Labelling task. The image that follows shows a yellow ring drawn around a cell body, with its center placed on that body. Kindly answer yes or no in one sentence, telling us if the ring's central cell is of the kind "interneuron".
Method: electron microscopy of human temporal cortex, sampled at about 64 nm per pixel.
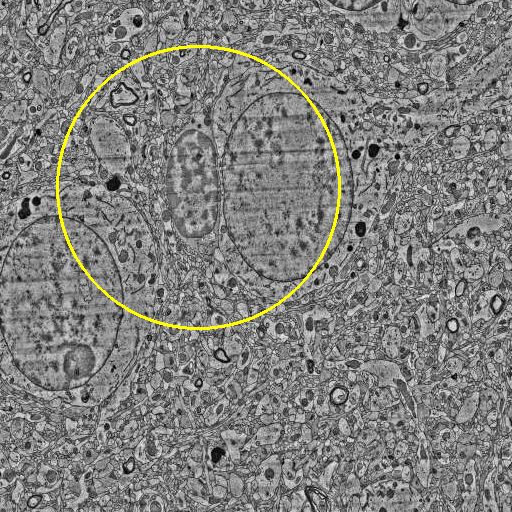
No, in this image the cell at the ring's center is of a different kind.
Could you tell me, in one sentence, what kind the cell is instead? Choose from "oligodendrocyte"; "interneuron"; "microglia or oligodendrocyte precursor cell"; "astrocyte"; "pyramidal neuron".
Instead, the ring surrounds an oligodendrocyte in this picture.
